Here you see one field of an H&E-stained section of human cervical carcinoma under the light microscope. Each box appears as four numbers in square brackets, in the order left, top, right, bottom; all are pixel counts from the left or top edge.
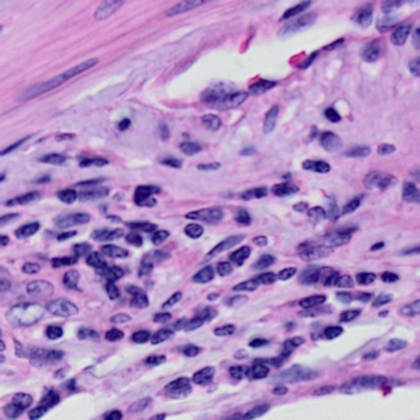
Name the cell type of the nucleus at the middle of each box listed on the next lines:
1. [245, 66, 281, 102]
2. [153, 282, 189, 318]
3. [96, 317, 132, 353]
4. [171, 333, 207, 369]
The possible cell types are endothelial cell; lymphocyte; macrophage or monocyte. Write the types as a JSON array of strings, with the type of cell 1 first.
["endothelial cell", "lymphocyte", "lymphocyte", "lymphocyte"]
